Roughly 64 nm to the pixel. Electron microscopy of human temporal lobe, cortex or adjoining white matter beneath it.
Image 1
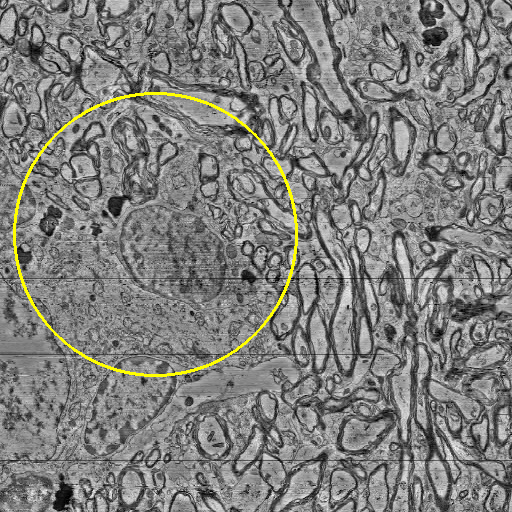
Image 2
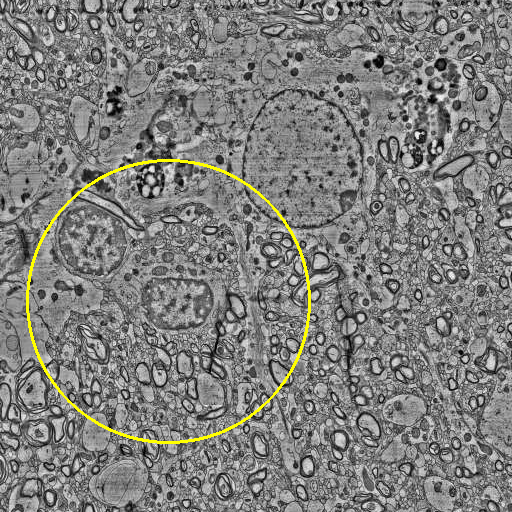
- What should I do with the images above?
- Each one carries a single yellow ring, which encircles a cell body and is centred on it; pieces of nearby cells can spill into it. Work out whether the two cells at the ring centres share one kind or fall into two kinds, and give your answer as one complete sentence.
The ring-centre cells of Image 1 and Image 2 share one kind.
